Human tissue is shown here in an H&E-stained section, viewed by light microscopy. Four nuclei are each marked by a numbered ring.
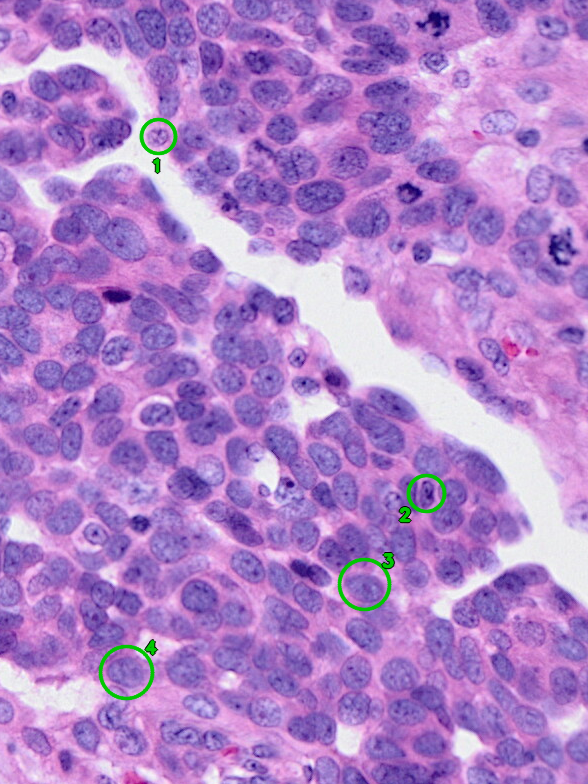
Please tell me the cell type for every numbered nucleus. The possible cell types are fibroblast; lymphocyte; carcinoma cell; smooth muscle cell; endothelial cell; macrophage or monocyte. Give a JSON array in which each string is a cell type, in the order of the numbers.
["macrophage or monocyte", "macrophage or monocyte", "carcinoma cell", "carcinoma cell"]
